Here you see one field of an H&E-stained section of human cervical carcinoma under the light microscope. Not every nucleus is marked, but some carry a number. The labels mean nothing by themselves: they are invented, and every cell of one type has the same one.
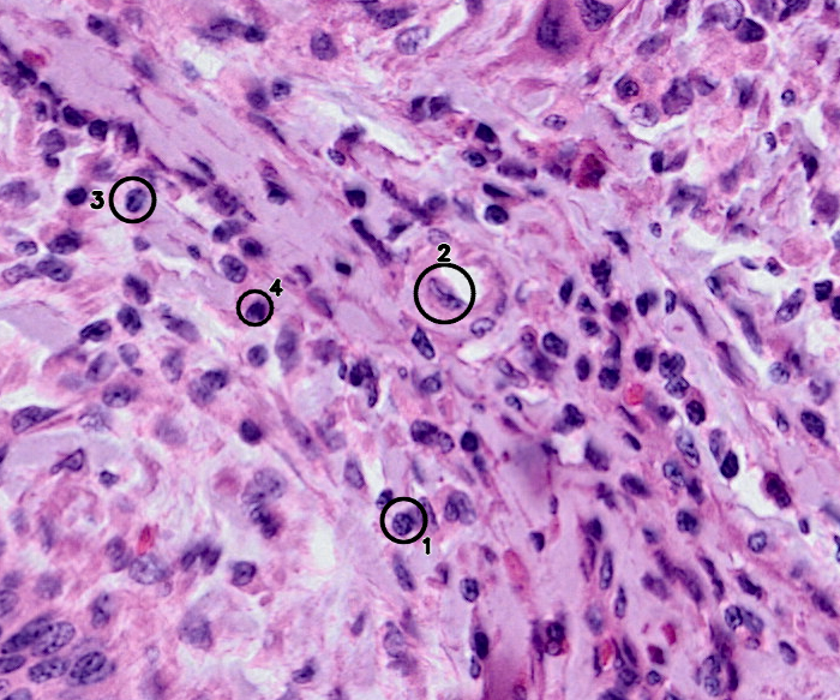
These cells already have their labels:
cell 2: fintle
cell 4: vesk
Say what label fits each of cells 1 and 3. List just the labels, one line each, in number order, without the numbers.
vesk
vesk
